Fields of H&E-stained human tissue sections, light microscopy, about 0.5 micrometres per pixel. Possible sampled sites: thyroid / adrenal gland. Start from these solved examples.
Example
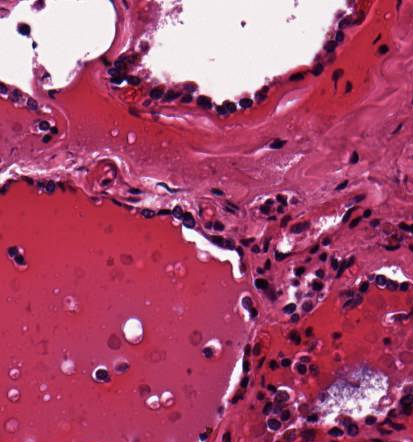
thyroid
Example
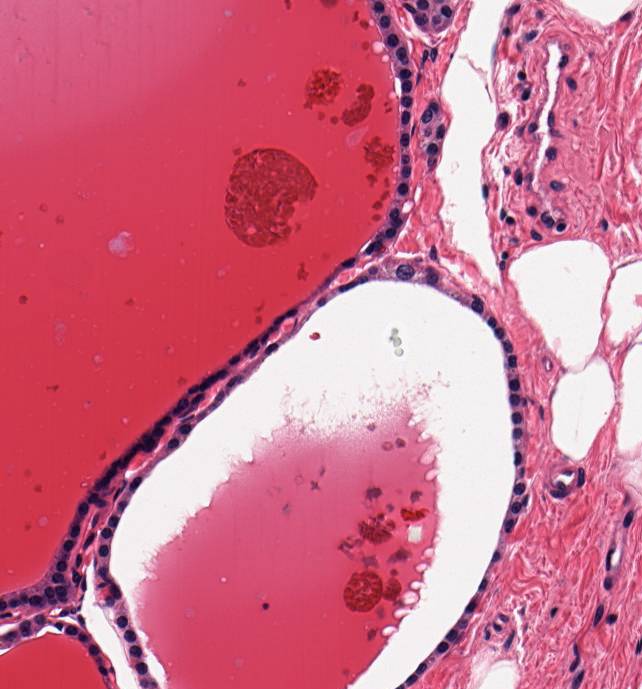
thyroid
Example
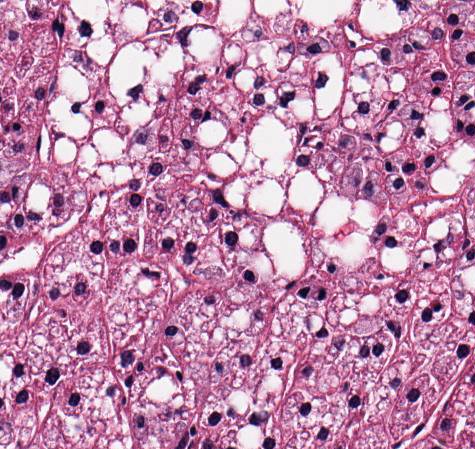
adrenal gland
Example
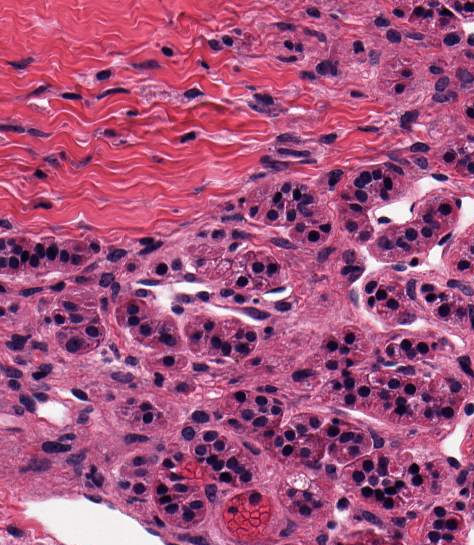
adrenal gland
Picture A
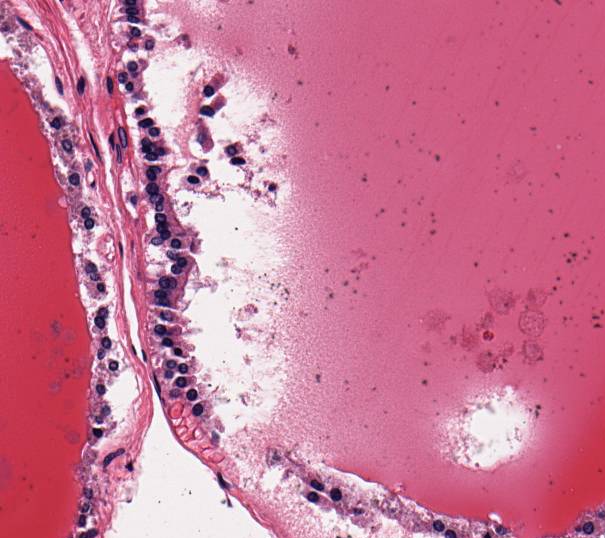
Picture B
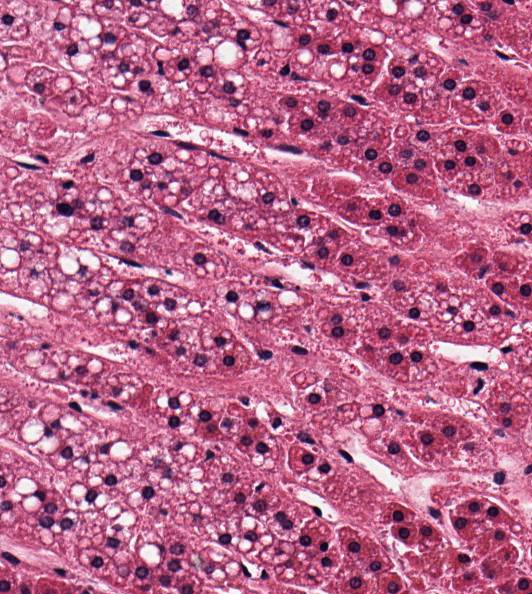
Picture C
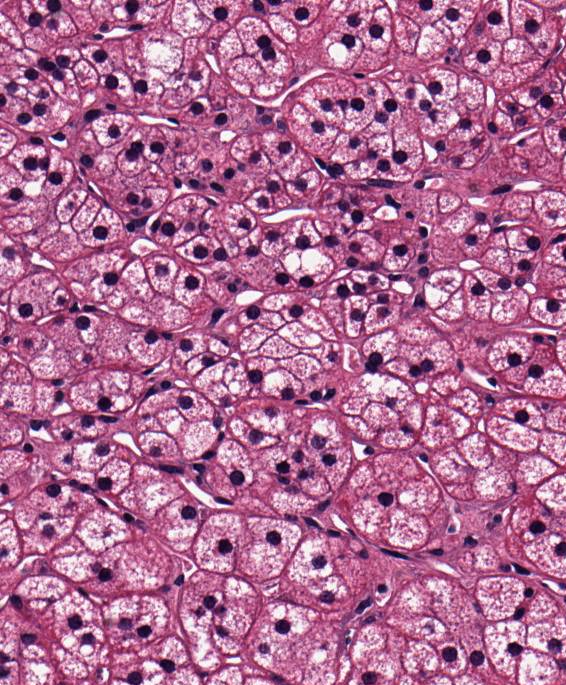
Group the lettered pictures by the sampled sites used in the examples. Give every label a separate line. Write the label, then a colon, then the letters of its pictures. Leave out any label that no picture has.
thyroid: A
adrenal gland: B, C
